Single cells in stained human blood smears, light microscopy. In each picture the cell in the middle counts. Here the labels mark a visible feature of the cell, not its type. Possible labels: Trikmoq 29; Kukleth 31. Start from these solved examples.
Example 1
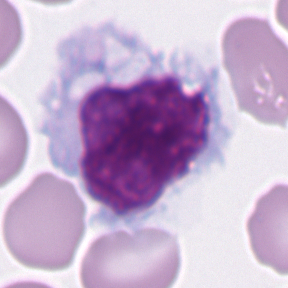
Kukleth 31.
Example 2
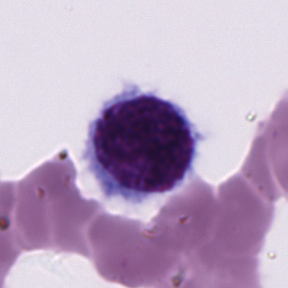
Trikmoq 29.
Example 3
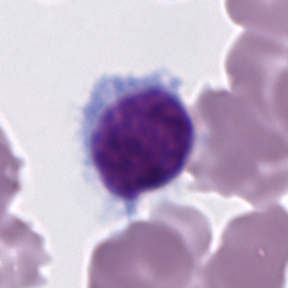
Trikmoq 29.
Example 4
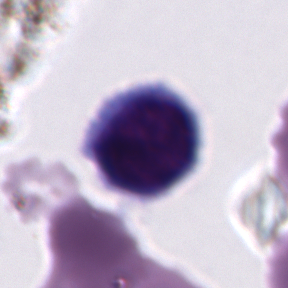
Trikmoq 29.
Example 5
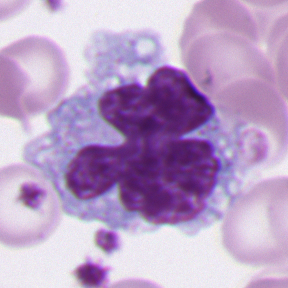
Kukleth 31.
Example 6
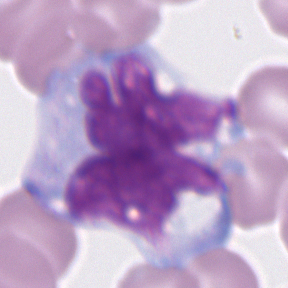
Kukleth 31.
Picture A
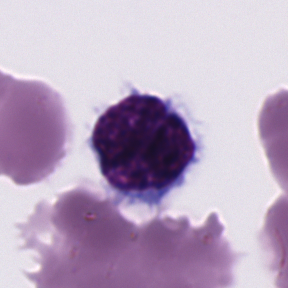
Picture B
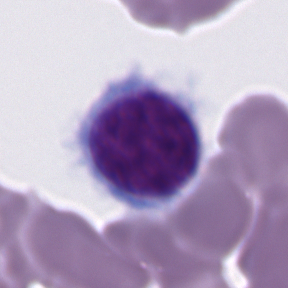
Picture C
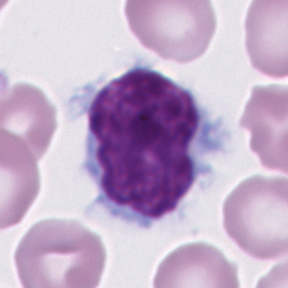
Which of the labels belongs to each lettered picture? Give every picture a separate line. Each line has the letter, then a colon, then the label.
A: Trikmoq 29.
B: Trikmoq 29.
C: Trikmoq 29.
